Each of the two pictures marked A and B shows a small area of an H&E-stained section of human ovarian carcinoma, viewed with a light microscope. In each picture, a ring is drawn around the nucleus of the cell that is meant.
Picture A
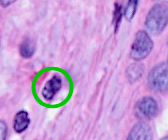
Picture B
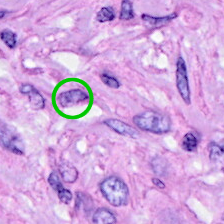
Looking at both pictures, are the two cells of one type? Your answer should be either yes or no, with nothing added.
no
